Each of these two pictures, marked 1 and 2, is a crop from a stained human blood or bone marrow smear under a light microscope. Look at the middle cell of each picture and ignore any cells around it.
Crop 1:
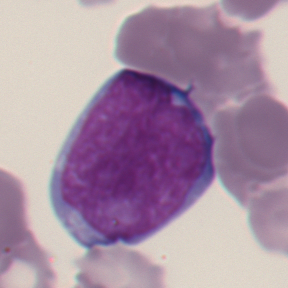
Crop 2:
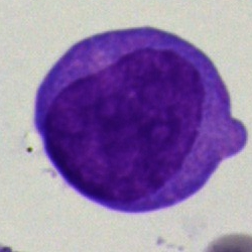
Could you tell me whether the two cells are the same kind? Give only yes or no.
yes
